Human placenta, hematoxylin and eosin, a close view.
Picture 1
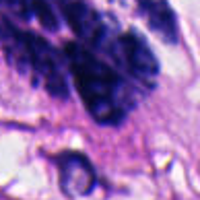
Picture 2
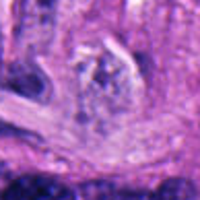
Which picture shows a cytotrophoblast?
Picture 2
